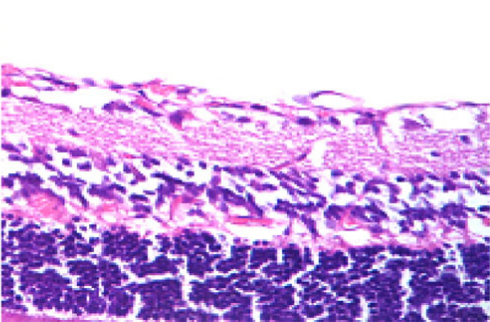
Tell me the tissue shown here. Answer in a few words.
Retina.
